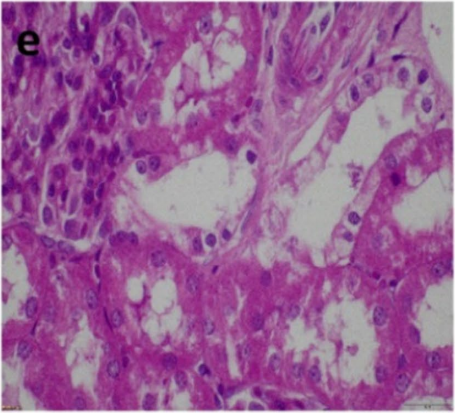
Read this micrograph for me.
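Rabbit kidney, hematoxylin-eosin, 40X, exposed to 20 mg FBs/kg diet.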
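Renal tubules with widened lumens. Many tubule profiles open into large clear spaces containing wispy pale pink material, and the lining epithelium around them is thinned and in places flattened. Remaining epithelial cells are cuboidal with round purple nuclei and pink cytoplasm, some with clear vacuole-like spaces. At the upper left lies a cluster of densely packed nuclei. Thin strands of pink interstitial tissue run between the tubules. Overall the tubules are less tightly packed than in intact cortex.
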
